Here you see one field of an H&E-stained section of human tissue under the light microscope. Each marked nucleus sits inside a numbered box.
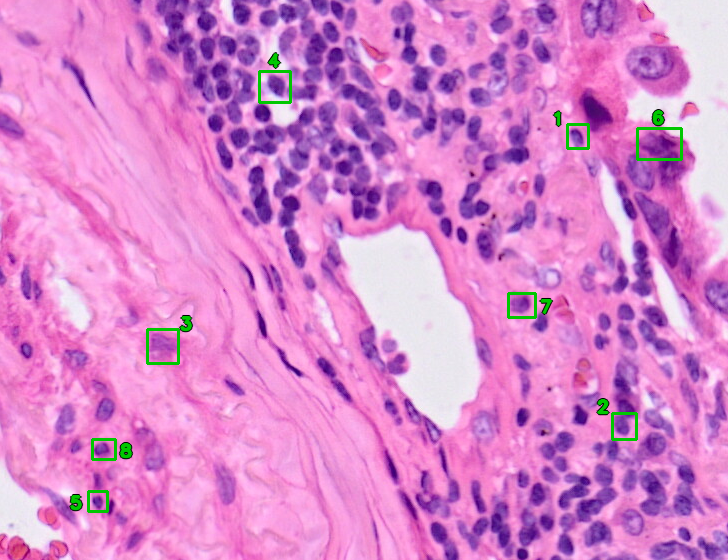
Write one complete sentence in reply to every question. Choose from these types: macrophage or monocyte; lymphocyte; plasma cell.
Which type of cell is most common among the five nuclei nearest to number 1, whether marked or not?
Around number 1, most of the five nearest nuclei are those of macrophages or monocytes.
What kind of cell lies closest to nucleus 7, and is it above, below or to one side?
Just below and to the right of nucleus 7 lies the nearest nucleus, which belongs to a lymphocyte.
